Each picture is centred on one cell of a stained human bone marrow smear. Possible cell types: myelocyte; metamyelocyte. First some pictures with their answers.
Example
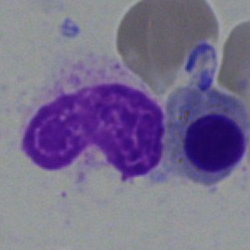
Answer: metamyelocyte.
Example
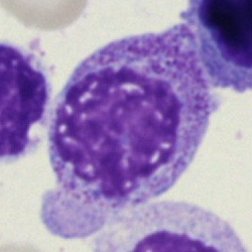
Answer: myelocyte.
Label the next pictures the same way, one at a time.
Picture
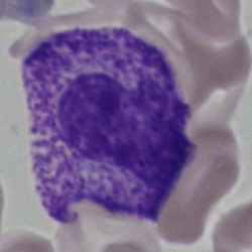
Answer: myelocyte.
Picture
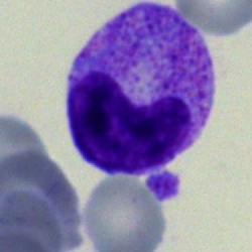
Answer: metamyelocyte.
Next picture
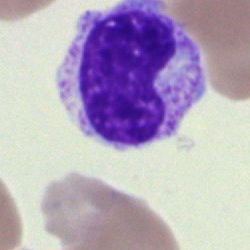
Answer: metamyelocyte.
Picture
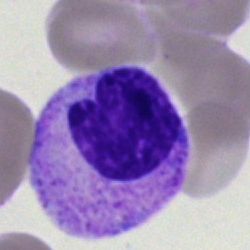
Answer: metamyelocyte.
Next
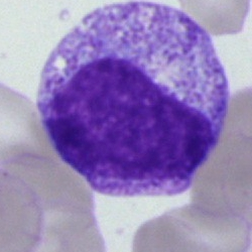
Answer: myelocyte.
